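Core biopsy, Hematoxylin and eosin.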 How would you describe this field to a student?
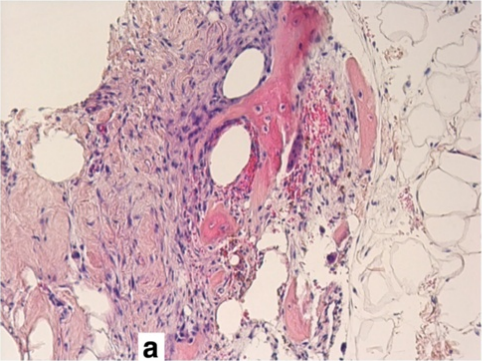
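The trabeculae are irregular bands of dense pink matrix containing small cells in lacunae. On the right large empty polygonal spaces with thin walls form the fat tissue. On the left pale pink wavy fibres with scattered spindle-shaped nuclei make up the fibrous tissue. Between these, cellular tissue with many red blood cells surrounds the trabeculae.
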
